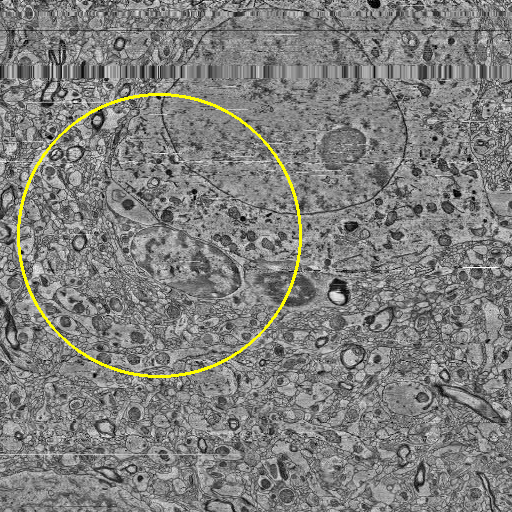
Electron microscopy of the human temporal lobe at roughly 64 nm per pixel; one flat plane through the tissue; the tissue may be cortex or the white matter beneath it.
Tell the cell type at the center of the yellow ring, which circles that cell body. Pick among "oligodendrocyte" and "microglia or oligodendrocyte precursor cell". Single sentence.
The ring is centered on the body of a microglial cell or oligodendrocyte precursor cell.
